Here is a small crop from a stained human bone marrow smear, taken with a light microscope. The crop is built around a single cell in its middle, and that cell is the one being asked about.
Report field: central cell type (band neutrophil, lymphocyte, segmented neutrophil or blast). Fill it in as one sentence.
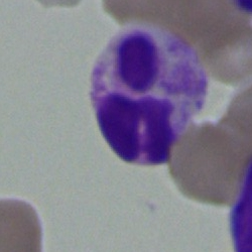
In the central position of this crop, the cell is a segmented neutrophil.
